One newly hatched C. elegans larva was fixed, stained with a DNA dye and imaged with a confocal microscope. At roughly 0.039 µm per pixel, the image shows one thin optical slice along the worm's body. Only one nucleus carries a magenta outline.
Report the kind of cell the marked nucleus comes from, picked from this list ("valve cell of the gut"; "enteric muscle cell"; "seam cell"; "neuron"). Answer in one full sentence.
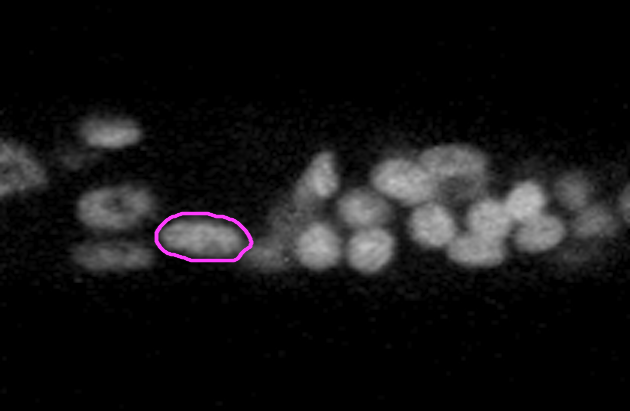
It belongs to an enteric muscle cell.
